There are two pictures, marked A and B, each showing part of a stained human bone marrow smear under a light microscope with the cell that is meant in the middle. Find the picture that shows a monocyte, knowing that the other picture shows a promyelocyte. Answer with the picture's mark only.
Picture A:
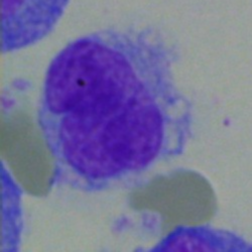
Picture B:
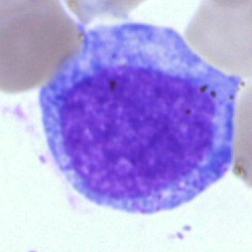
A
